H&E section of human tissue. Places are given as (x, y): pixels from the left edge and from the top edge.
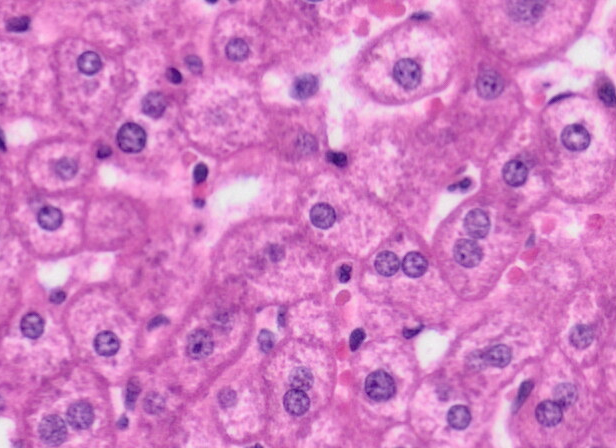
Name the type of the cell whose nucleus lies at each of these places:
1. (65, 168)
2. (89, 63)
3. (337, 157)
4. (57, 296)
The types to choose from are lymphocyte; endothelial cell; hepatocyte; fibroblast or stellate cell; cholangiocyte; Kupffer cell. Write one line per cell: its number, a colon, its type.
1: hepatocyte
2: hepatocyte
3: fibroblast or stellate cell
4: Kupffer cell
